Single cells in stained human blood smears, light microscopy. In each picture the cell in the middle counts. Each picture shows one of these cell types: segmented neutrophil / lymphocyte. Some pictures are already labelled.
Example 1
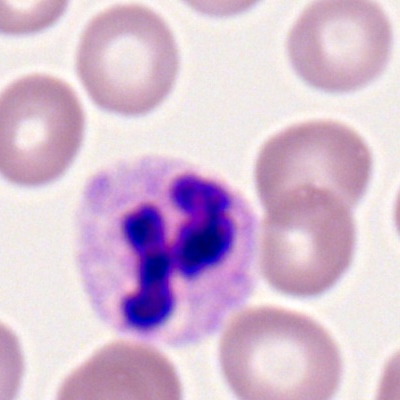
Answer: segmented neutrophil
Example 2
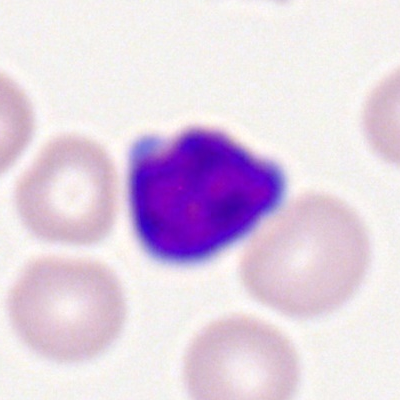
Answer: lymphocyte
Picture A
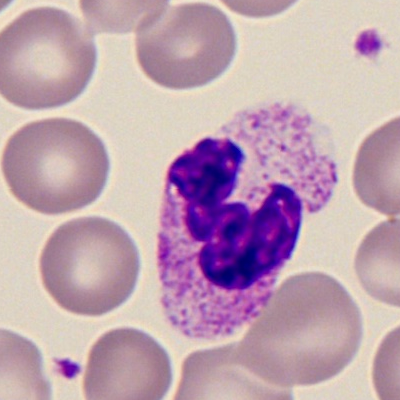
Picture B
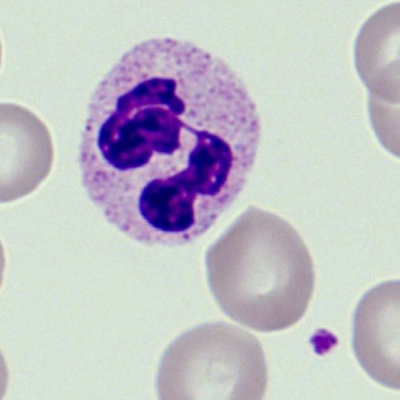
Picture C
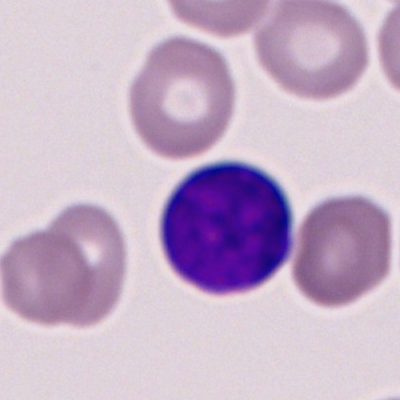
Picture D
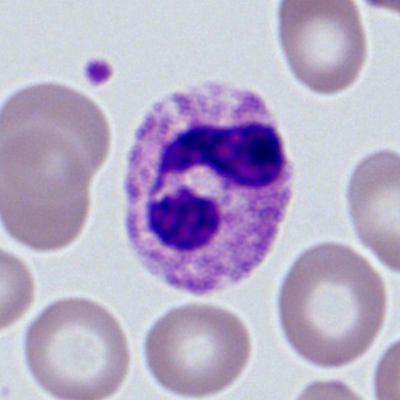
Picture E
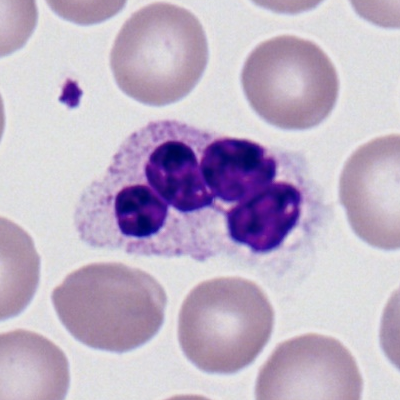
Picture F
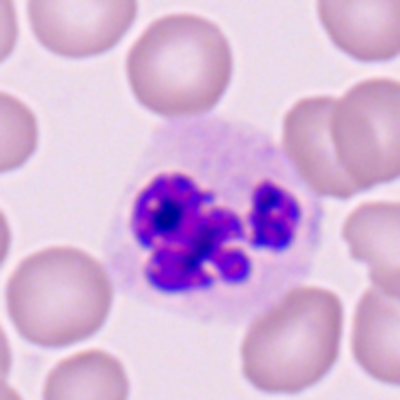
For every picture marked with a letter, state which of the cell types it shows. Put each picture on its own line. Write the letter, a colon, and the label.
A: segmented neutrophil
B: segmented neutrophil
C: lymphocyte
D: segmented neutrophil
E: segmented neutrophil
F: segmented neutrophil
